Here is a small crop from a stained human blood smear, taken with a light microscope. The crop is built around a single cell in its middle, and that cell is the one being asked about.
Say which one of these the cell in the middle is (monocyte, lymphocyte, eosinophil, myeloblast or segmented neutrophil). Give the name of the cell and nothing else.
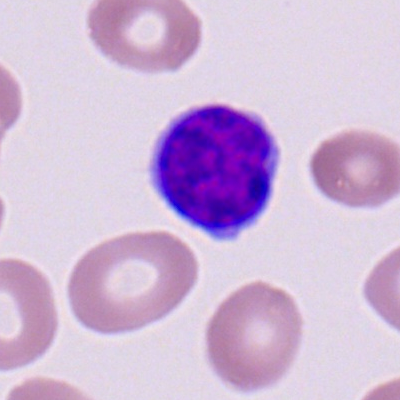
lymphocyte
